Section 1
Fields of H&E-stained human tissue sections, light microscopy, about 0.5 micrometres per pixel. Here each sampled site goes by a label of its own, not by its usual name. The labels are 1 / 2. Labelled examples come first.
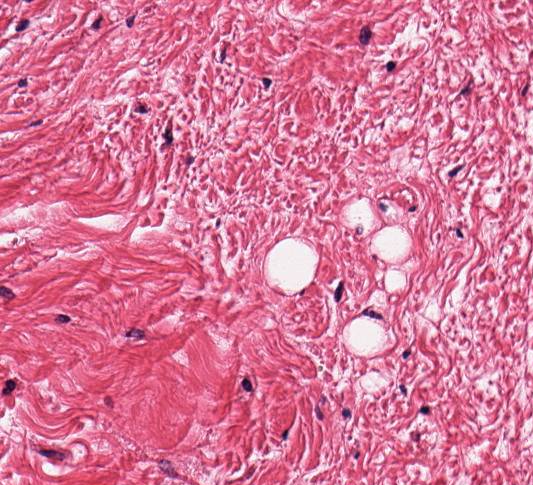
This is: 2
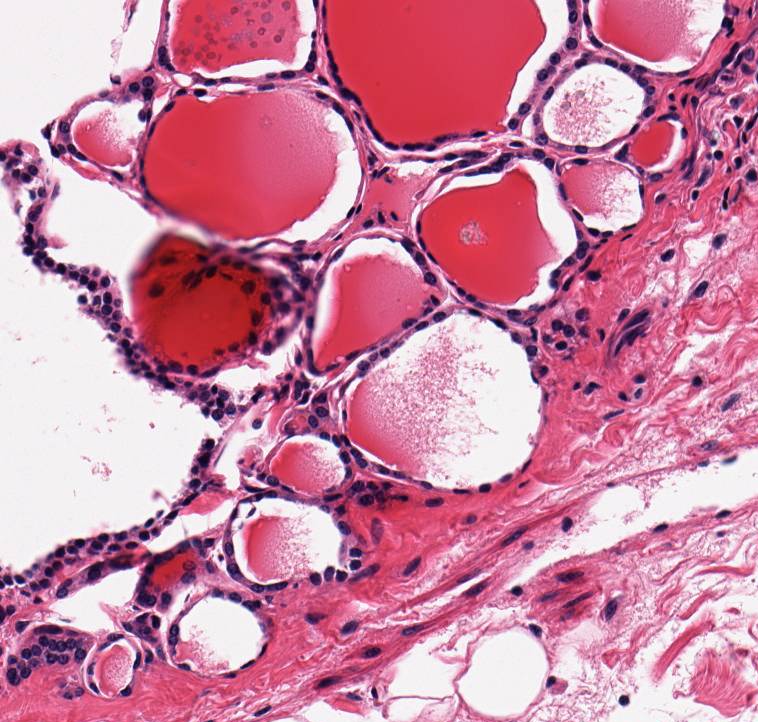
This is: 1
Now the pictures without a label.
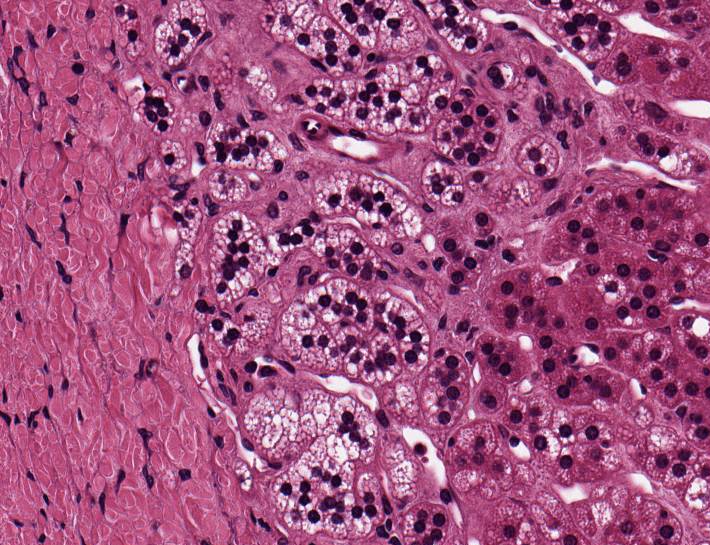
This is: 2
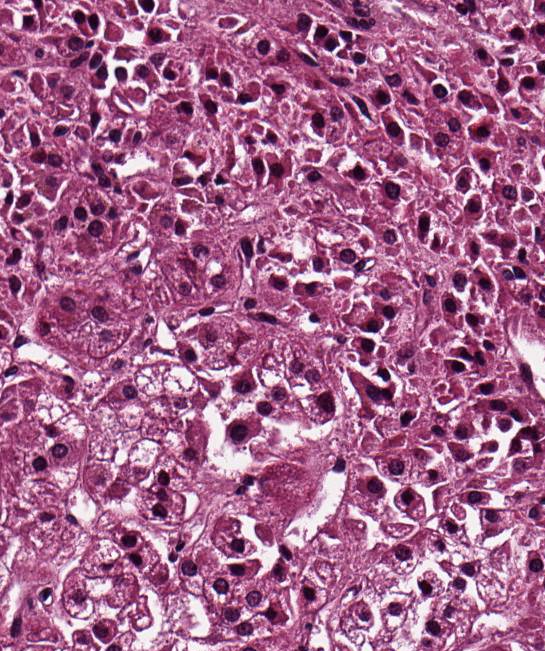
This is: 2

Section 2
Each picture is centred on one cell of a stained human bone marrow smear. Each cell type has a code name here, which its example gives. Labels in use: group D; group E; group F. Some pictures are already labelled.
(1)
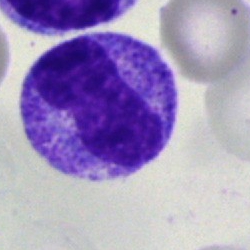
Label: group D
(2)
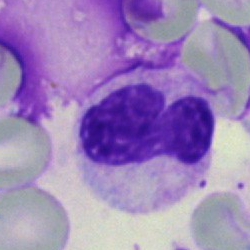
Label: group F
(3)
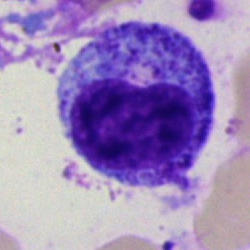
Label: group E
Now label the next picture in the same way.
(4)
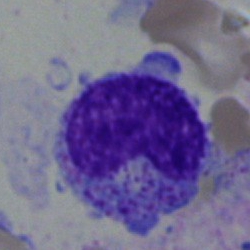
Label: group D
